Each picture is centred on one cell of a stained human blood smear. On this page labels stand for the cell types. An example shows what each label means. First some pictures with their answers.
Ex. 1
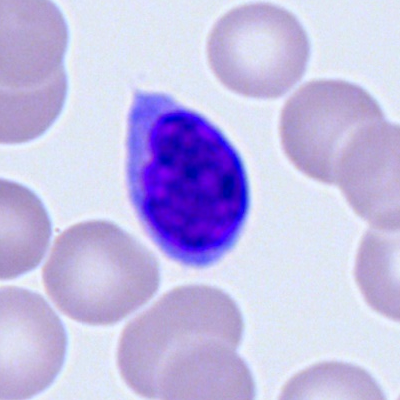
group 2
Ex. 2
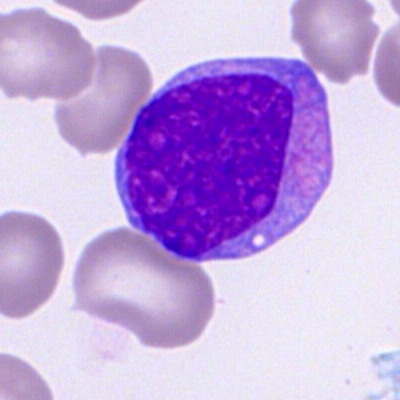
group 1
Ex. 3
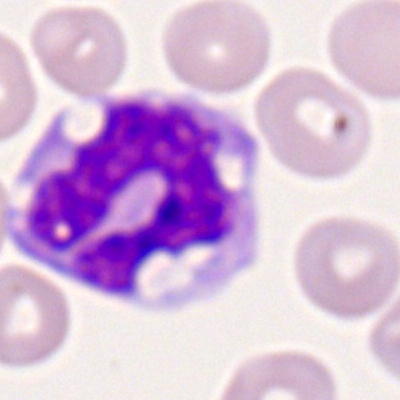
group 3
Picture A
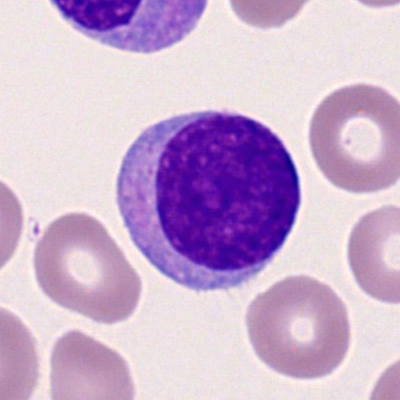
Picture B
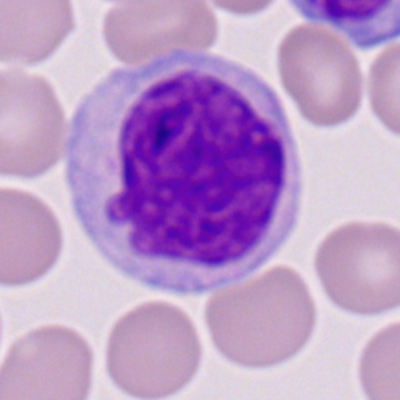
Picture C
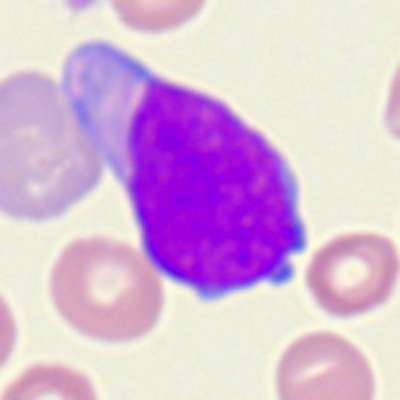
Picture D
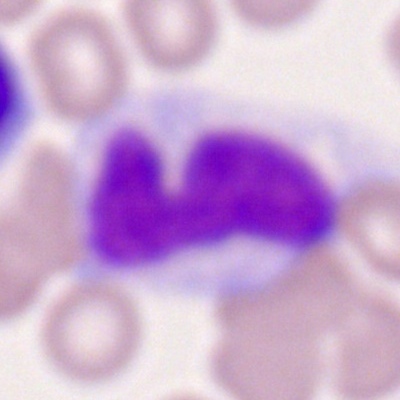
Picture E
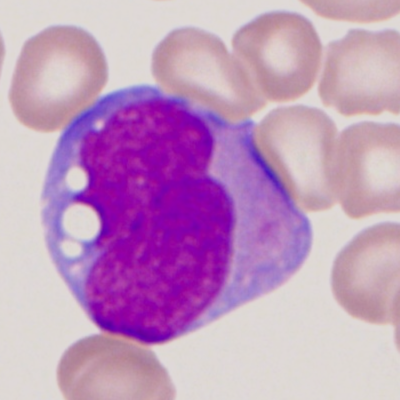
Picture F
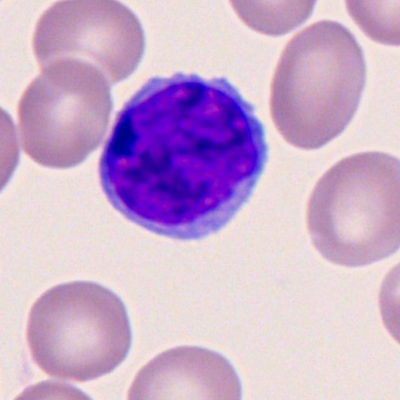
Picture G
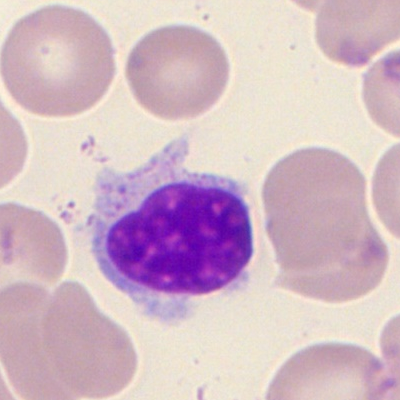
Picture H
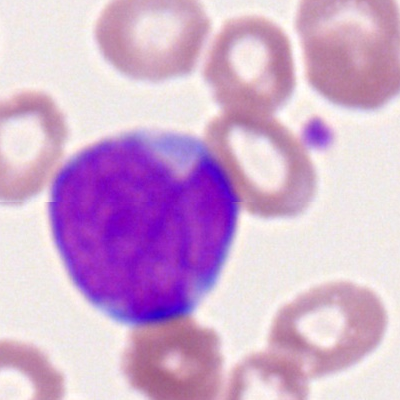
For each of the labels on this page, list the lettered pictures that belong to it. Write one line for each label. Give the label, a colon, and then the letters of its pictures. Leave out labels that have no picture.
group 2: F, G
group 1: A, C, E, H
group 3: B, D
